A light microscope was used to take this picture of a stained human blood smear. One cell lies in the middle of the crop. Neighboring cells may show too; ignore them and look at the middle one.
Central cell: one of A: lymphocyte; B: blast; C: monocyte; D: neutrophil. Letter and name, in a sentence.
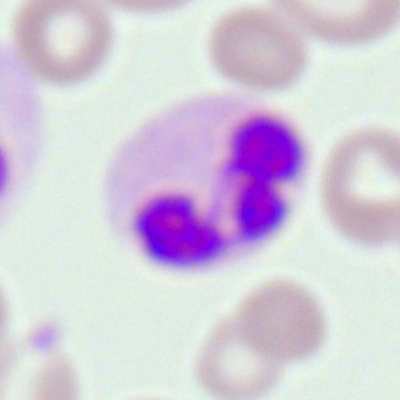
The cell at the heart of the crop is a neutrophil, so choose option D.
